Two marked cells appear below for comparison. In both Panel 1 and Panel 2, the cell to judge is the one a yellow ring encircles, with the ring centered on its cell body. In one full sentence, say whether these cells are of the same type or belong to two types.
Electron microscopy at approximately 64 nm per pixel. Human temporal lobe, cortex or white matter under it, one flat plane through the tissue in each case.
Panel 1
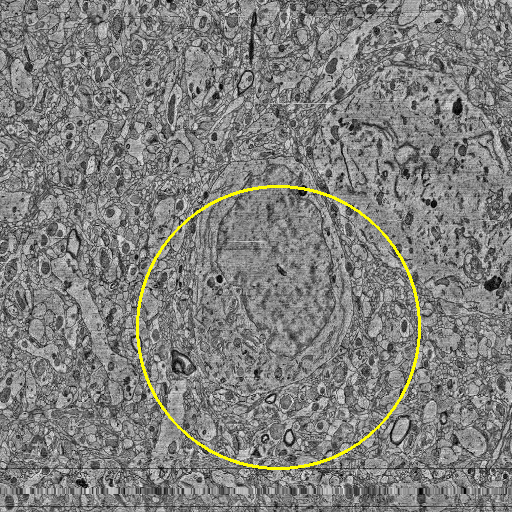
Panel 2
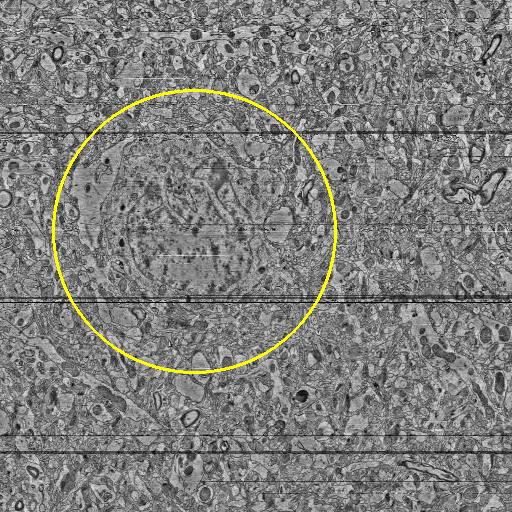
The cell centered in the Panel 1 ring and the one in Panel 2 are of the same type.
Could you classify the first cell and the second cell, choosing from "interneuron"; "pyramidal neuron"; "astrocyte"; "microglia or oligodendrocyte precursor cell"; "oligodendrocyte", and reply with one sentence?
Each cell at the centre of a ring is an interneuron.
